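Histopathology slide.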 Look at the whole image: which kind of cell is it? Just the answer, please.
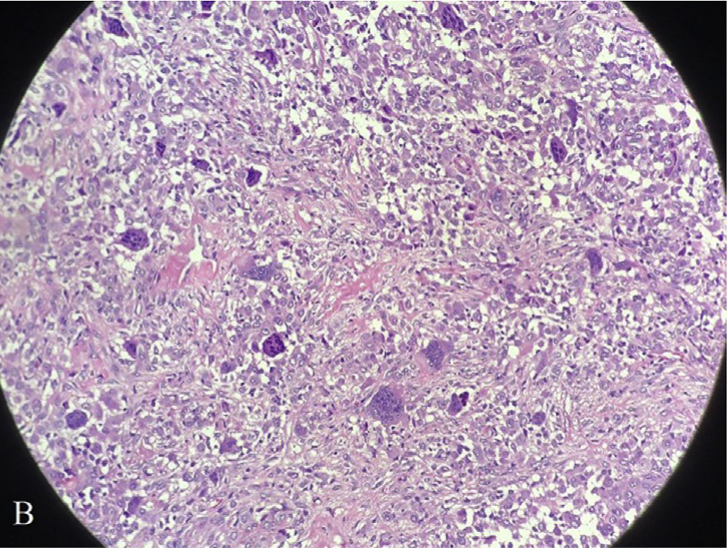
Giant cells.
